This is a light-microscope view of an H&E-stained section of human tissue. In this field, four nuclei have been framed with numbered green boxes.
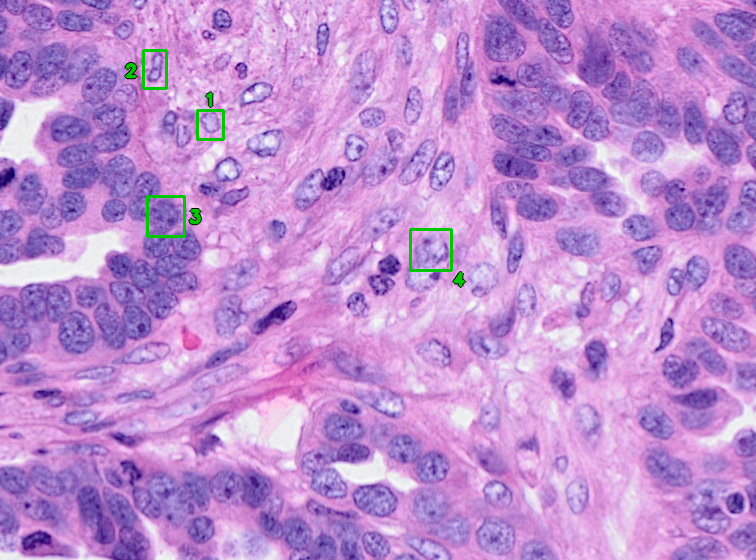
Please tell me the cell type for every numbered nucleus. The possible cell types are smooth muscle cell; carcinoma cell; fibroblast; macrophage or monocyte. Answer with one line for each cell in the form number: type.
1: fibroblast
2: fibroblast
3: carcinoma cell
4: fibroblast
